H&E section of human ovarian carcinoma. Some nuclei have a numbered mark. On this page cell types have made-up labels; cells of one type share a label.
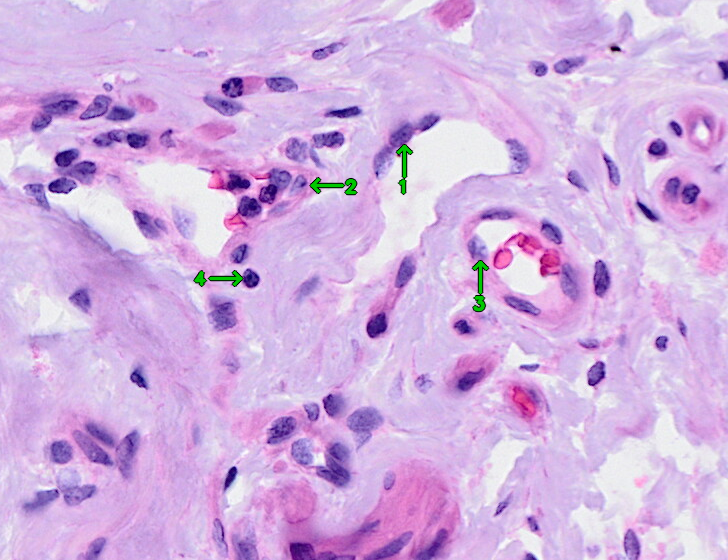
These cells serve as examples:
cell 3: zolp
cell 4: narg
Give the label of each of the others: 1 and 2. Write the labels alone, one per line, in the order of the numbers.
zolp
zolp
